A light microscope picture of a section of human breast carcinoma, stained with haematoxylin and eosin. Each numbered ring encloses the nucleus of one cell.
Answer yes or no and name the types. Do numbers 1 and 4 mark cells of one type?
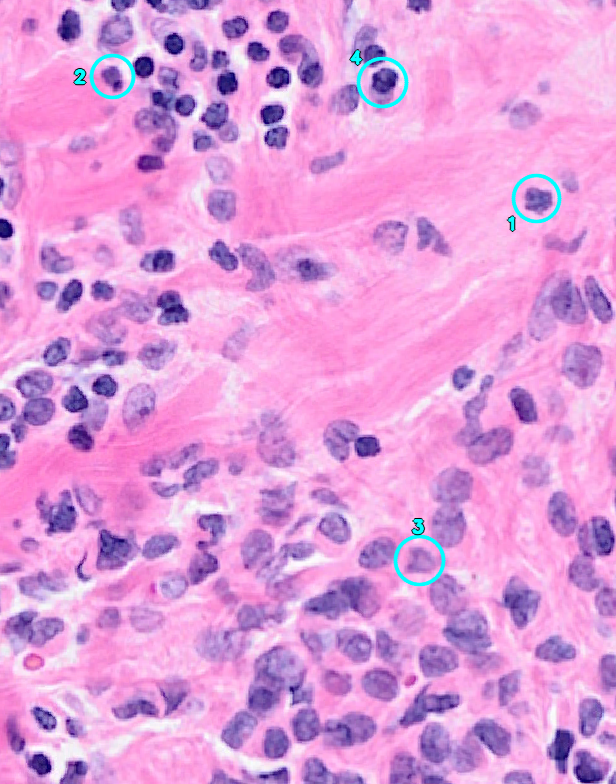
Yes, cells 1 and 4 are lymphocytes, both of them.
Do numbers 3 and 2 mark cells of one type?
No, cell 3 is typed as a carcinoma cell, and cell 2 is typed as a lymphocyte.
